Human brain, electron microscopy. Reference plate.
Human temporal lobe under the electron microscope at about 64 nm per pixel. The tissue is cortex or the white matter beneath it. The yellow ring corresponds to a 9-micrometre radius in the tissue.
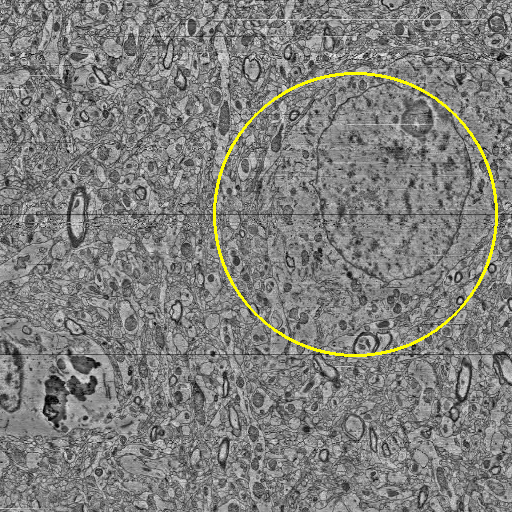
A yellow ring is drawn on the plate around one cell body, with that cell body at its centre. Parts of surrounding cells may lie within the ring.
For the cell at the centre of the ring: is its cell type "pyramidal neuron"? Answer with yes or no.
Yes, that is its cell type.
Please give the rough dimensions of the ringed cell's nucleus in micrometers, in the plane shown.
The nucleus measures about 13 by 10 micrometres in this plane.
